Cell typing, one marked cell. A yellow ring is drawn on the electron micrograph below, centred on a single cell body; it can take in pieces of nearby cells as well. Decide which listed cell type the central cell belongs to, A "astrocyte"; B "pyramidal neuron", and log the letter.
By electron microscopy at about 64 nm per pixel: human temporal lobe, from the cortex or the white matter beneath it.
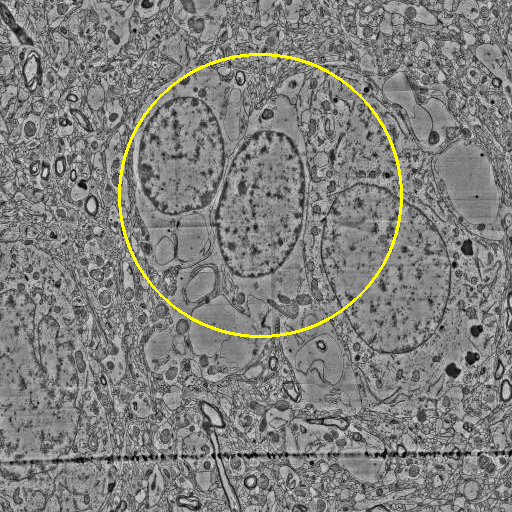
A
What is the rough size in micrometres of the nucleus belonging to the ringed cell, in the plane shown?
Roughly 9 by 5 micrometers, clearly longer than it is wide in this plane.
